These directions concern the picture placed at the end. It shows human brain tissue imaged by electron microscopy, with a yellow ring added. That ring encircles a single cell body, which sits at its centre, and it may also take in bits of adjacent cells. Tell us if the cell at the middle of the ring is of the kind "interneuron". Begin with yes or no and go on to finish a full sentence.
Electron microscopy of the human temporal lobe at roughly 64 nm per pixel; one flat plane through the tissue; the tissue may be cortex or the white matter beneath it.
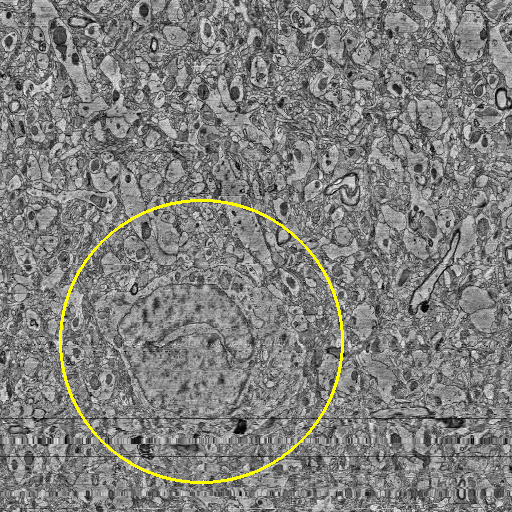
Yes, the cell sitting at the centre of the yellow ring in the picture is of that kind.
